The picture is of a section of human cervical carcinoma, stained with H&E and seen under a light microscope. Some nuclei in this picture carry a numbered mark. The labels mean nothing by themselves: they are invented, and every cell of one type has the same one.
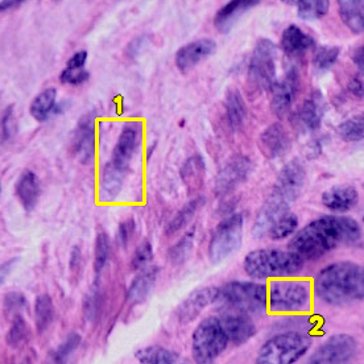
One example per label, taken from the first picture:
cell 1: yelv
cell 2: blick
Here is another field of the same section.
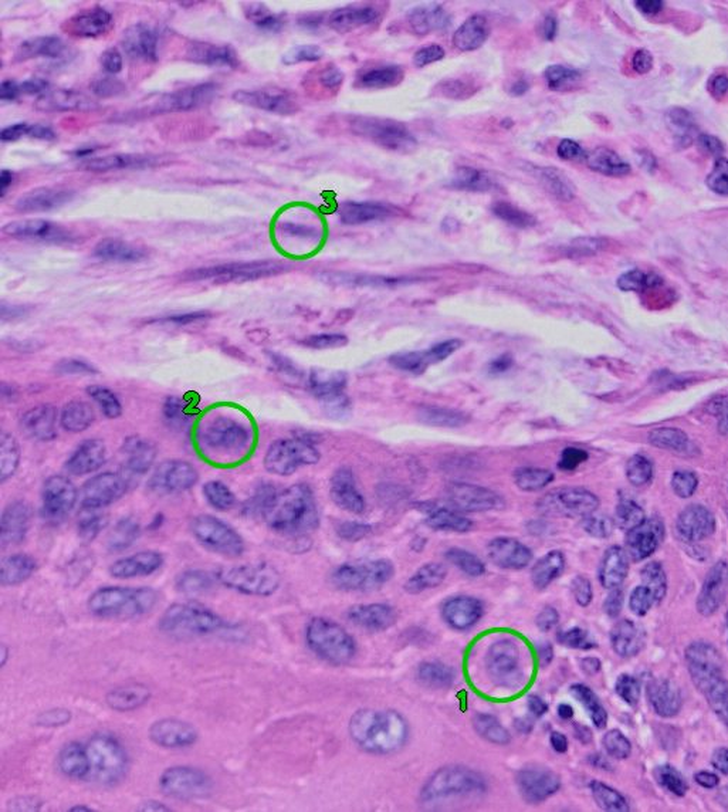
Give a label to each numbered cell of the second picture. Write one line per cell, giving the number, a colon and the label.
1: blick
2: blick
3: yelv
